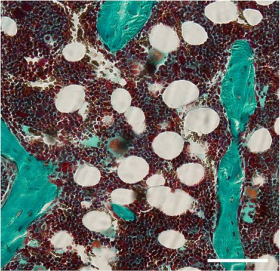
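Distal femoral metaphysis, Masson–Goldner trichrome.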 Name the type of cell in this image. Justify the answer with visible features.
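Many round clear spaces of similar size are scattered through the tissue. Each clear space is a single vacuole without internal divisions. Densely packed small dark cells fill the spaces between them.
Hence: Unilocular adipocytes.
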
